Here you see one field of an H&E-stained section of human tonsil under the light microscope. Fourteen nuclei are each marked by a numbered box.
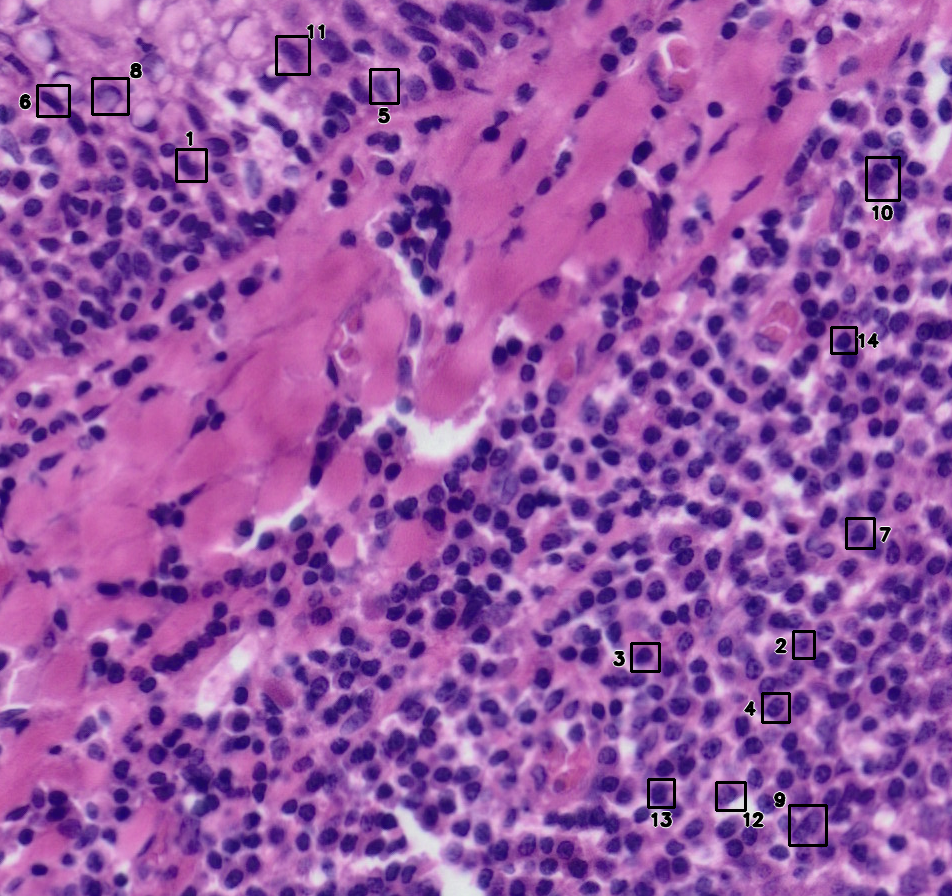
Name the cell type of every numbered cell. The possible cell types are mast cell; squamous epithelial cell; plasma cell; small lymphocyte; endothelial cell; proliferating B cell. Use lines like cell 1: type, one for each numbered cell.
cell 1: squamous epithelial cell
cell 2: plasma cell
cell 3: plasma cell
cell 4: plasma cell
cell 5: squamous epithelial cell
cell 6: squamous epithelial cell
cell 7: plasma cell
cell 8: squamous epithelial cell
cell 9: squamous epithelial cell
cell 10: plasma cell
cell 11: squamous epithelial cell
cell 12: plasma cell
cell 13: plasma cell
cell 14: plasma cell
